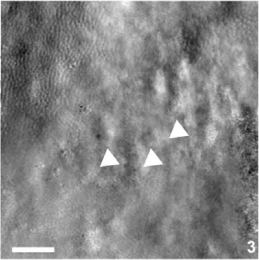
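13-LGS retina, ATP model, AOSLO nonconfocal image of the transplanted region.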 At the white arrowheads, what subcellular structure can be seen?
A: Inner segments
